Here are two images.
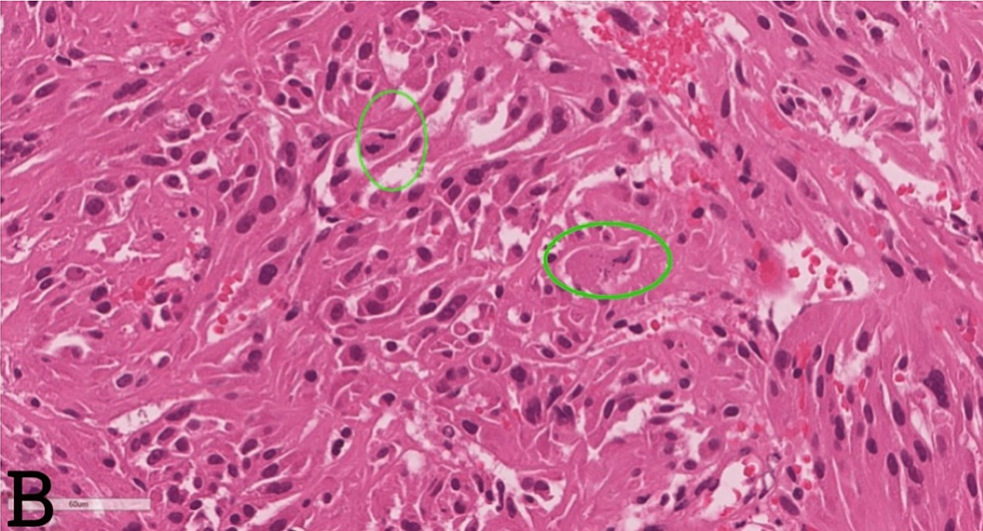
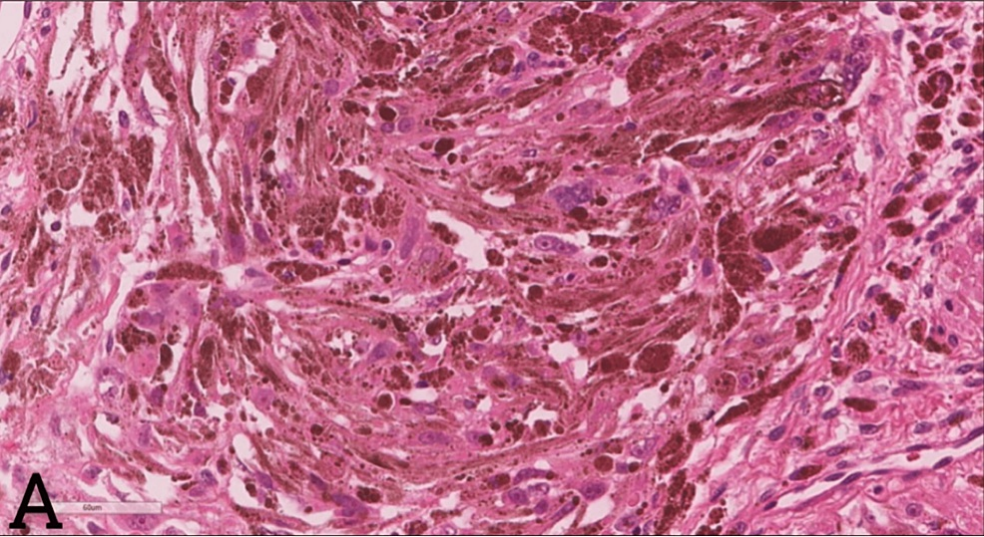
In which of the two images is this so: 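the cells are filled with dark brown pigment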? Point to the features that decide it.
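The second image. First image: cells have pink cytoplasm with purple nuclei and almost no brown pigment. Second image: many cells are packed with coarse dark brown granules.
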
